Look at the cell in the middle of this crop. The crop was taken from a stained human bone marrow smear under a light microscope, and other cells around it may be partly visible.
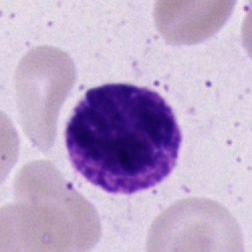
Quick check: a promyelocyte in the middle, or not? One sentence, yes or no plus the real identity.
No, the cell at the centre of the crop corresponds to a basophil, not a promyelocyte.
